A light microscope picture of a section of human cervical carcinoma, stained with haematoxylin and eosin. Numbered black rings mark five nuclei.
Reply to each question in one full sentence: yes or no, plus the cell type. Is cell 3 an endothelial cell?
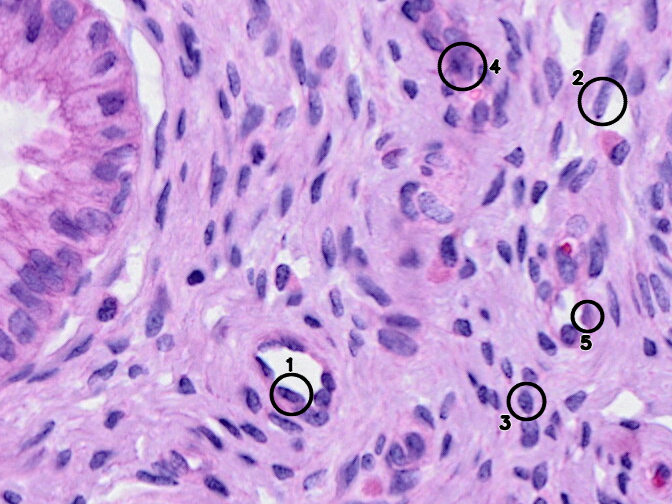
No, number 3 is not an endothelial cell but a fibroblast.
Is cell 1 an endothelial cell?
Yes, the cell whose nucleus carries number 1 is an endothelial cell.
